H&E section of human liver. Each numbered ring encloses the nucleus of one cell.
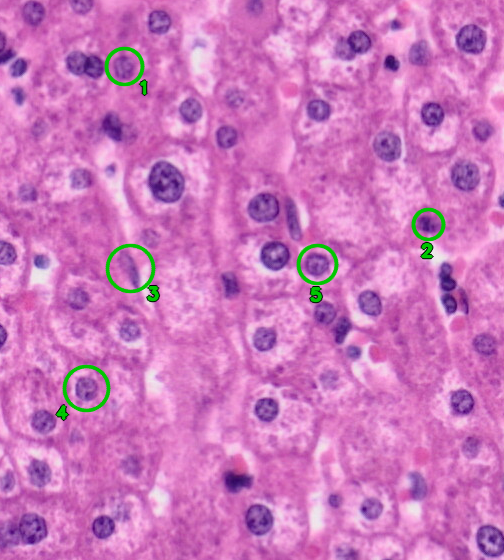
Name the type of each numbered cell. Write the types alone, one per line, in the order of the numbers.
hepatocyte
fibroblast or stellate cell
Kupffer cell
hepatocyte
hepatocyte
